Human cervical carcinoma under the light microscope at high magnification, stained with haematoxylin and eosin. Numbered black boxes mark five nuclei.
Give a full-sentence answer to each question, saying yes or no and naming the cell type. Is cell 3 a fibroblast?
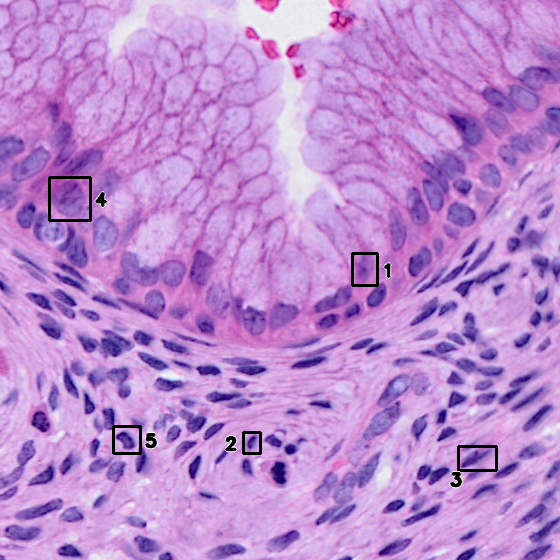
Yes, the numbered cell 3 is a fibroblast.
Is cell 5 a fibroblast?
Yes, number 5 in this section denotes a fibroblast.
